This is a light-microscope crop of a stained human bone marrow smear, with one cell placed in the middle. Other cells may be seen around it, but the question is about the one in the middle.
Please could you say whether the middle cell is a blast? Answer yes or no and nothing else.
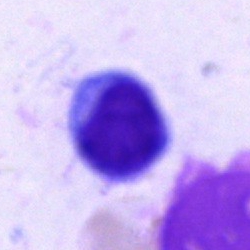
no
